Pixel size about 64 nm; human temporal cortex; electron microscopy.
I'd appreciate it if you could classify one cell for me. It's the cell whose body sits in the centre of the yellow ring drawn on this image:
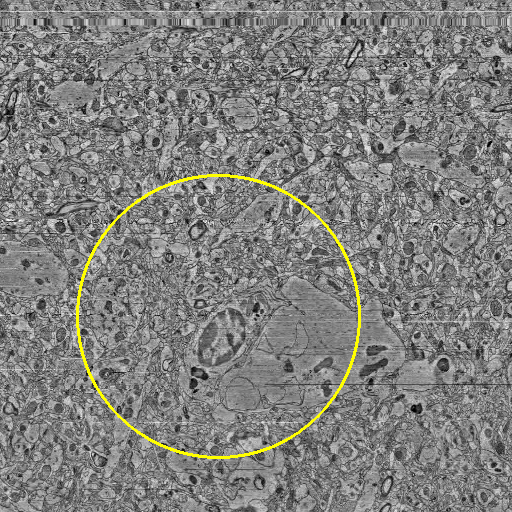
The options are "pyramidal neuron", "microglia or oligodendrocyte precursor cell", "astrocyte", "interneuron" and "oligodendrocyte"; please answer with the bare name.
microglia or oligodendrocyte precursor cell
